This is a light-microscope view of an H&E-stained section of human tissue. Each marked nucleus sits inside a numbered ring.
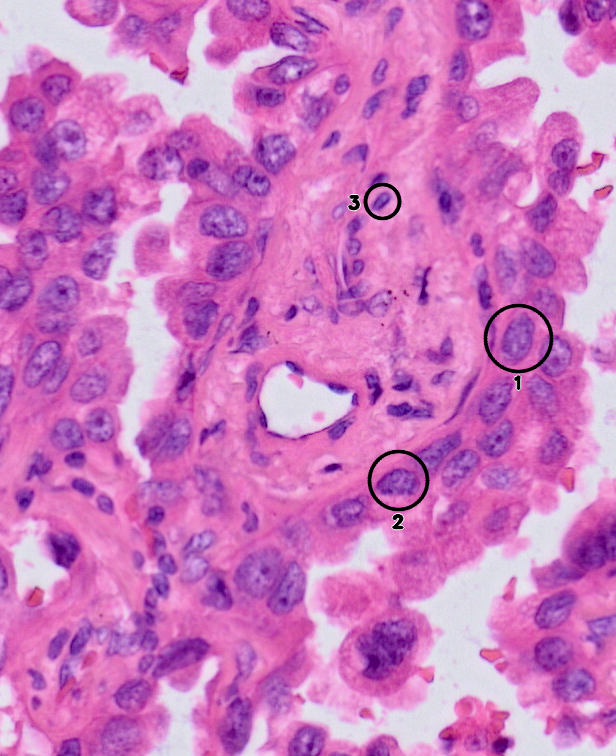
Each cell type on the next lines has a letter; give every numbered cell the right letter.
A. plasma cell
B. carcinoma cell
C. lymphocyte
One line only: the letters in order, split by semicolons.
B; B; C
